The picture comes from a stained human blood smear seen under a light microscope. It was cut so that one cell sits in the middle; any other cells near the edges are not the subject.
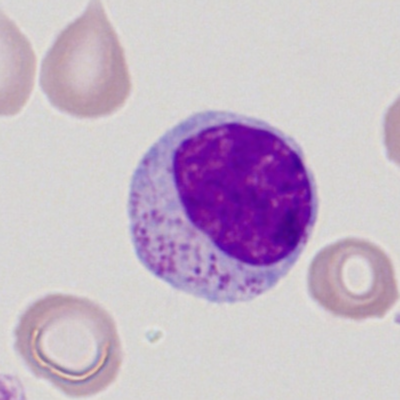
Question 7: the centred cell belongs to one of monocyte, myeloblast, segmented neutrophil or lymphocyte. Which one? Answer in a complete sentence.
The cell of interest, located centrally, is a lymphocyte.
